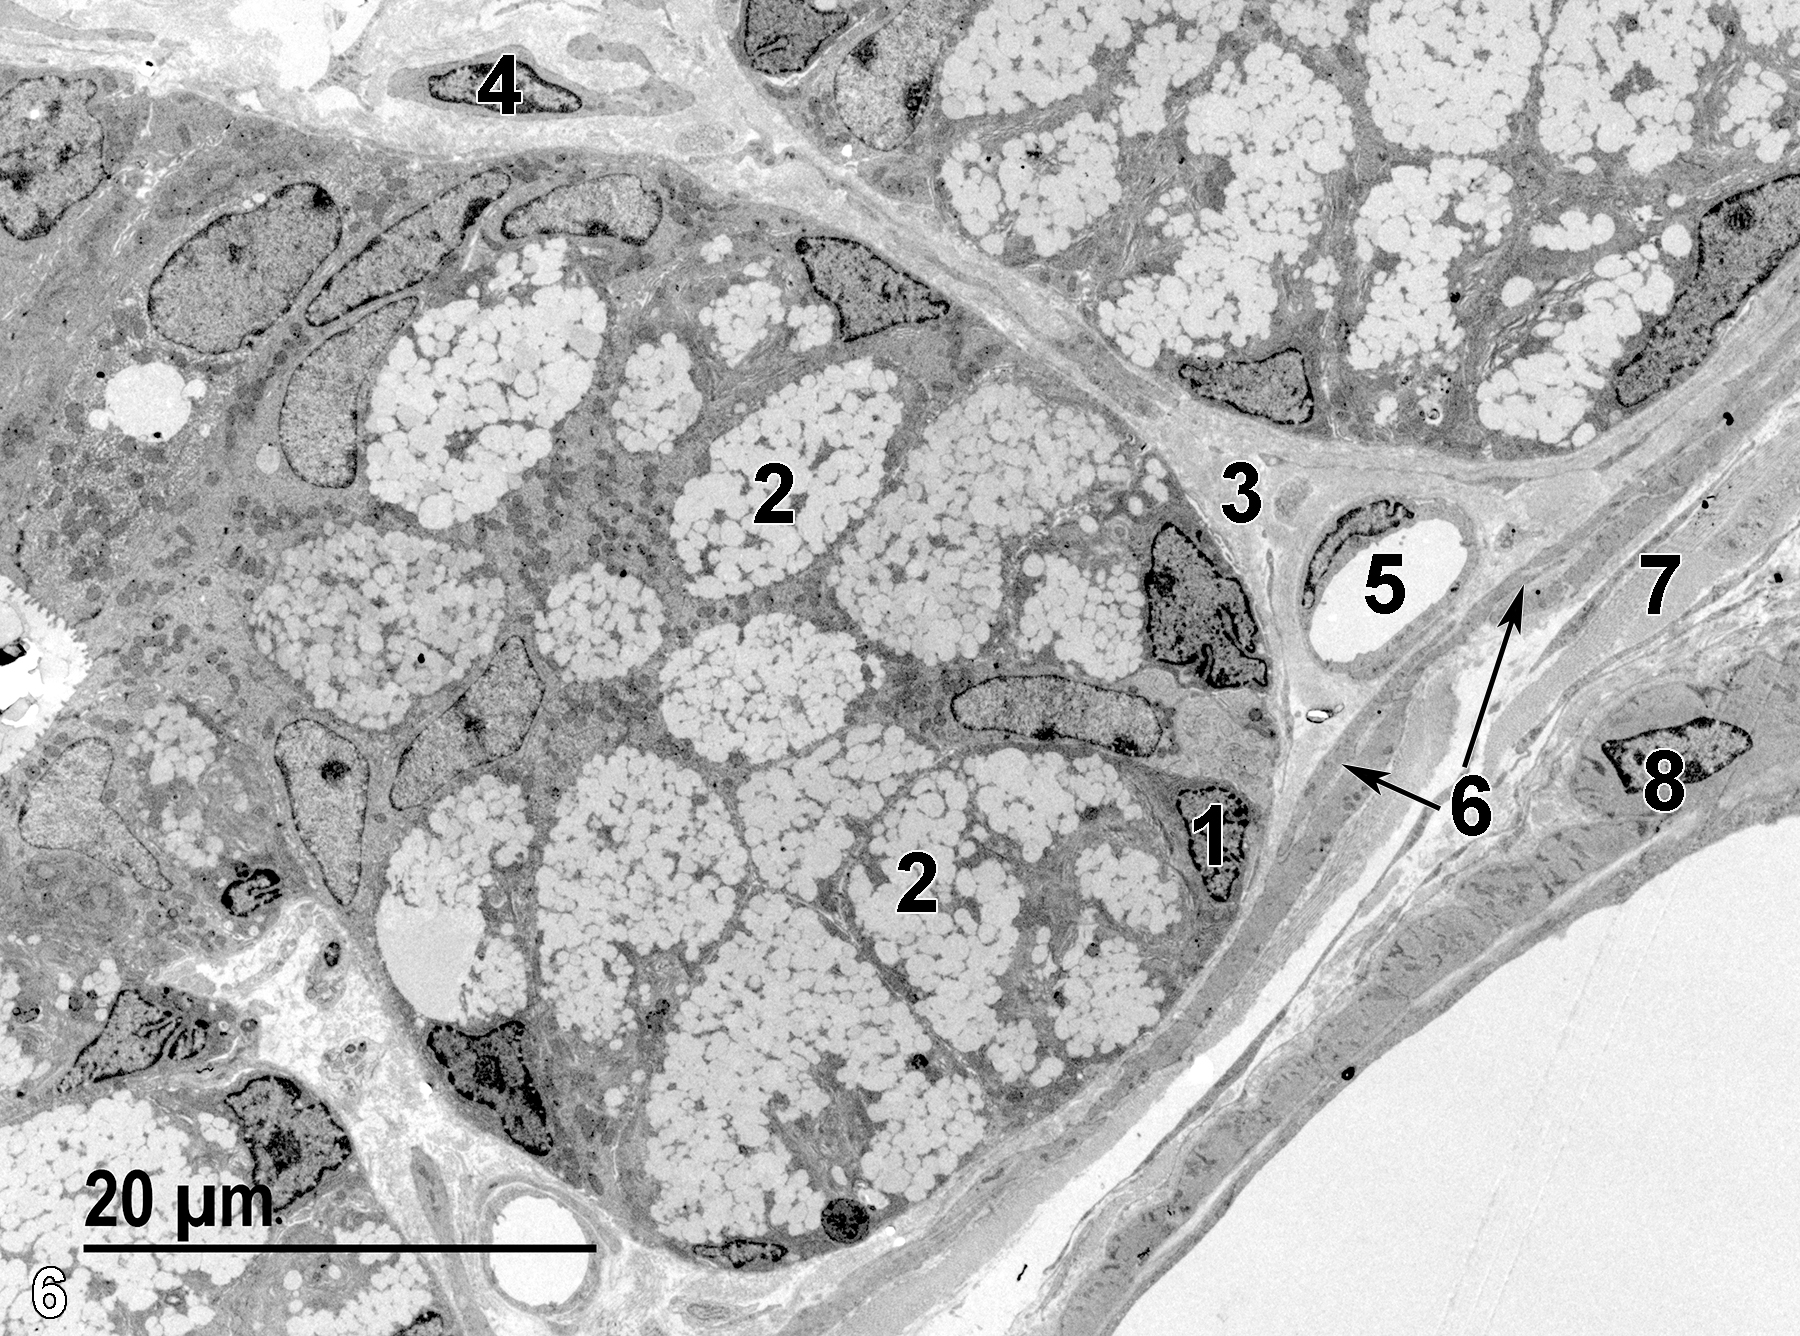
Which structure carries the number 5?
Capillary.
